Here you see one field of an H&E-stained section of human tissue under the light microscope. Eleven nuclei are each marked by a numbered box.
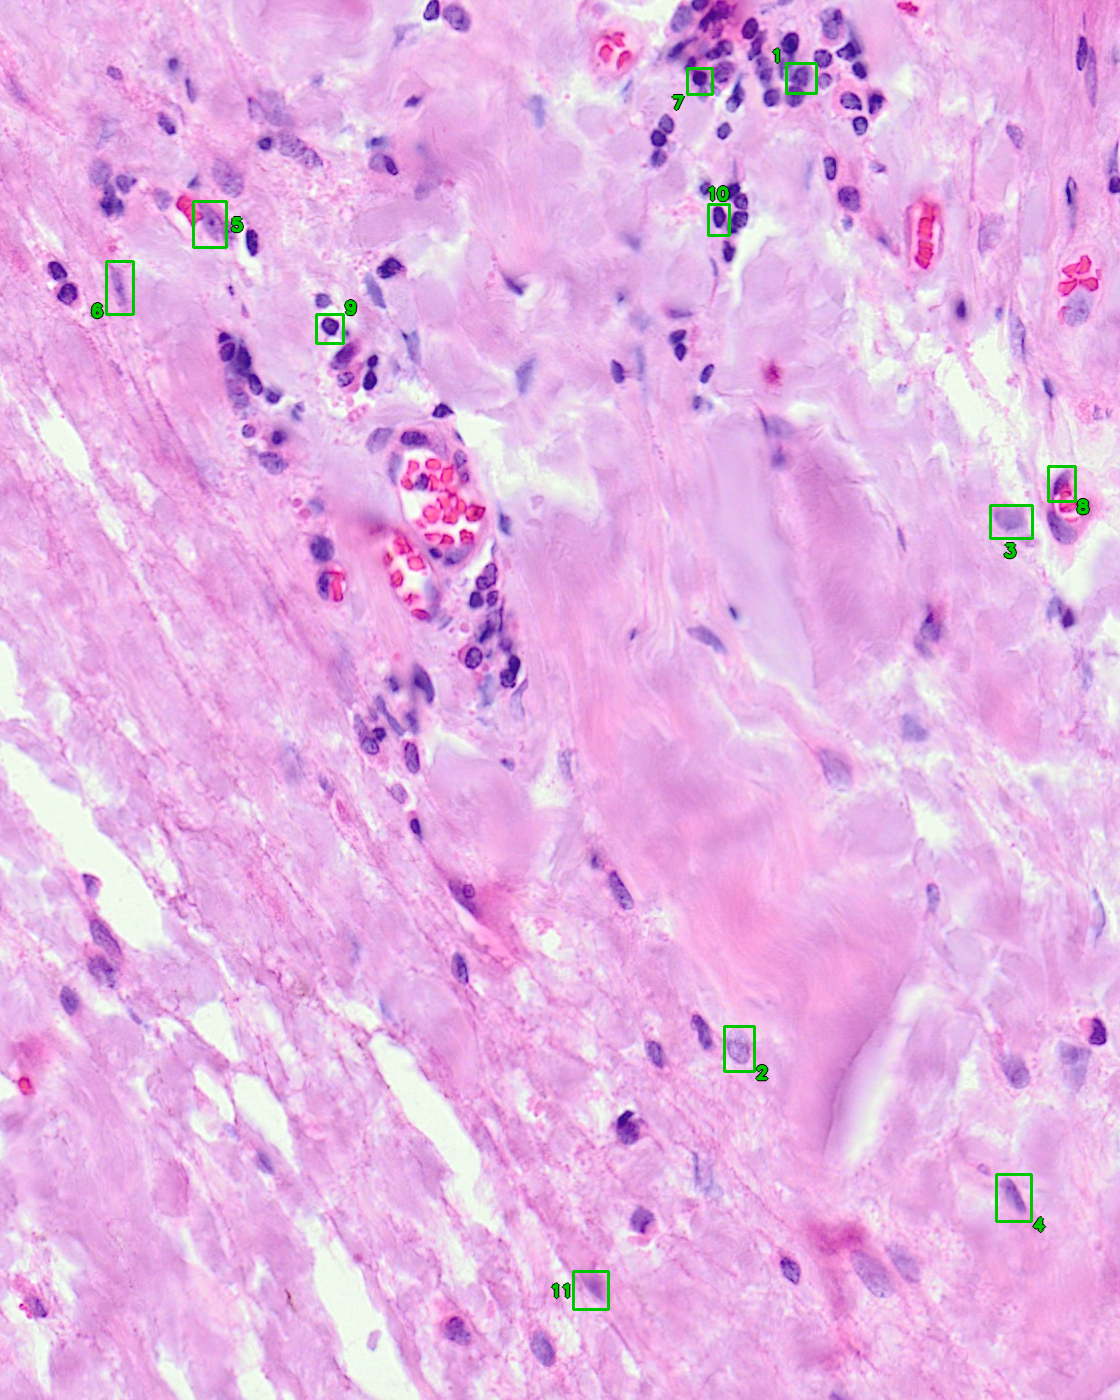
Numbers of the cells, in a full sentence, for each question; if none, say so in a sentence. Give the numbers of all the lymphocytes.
The cells marked with the numbers 1, 7, 9 and 10 are lymphocytes.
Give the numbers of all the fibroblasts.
The cells given the numbers 2, 3, 4, 6 and 11 are fibroblasts.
